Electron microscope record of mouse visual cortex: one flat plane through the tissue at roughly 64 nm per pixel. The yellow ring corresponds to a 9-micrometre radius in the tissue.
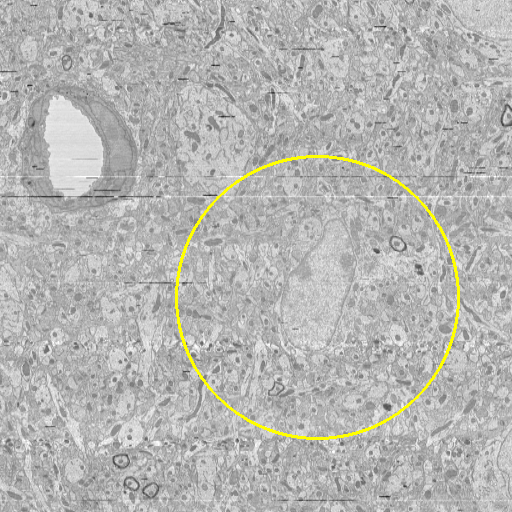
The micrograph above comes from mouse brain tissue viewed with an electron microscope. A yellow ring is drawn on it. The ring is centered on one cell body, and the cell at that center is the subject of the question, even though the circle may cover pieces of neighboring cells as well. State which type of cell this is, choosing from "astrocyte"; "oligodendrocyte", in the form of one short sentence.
The cell the ring is centered on is an astrocyte.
